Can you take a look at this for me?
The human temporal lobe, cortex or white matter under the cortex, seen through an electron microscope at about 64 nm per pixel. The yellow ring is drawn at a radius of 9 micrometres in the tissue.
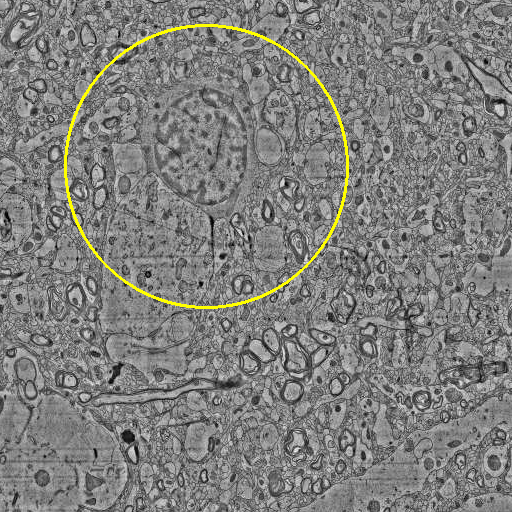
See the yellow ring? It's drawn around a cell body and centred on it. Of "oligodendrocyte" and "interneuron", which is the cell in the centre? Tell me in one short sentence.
The one in the centre is an oligodendrocyte.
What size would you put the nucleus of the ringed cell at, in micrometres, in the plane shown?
In this plane, roughly 7 by 6 micrometres.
